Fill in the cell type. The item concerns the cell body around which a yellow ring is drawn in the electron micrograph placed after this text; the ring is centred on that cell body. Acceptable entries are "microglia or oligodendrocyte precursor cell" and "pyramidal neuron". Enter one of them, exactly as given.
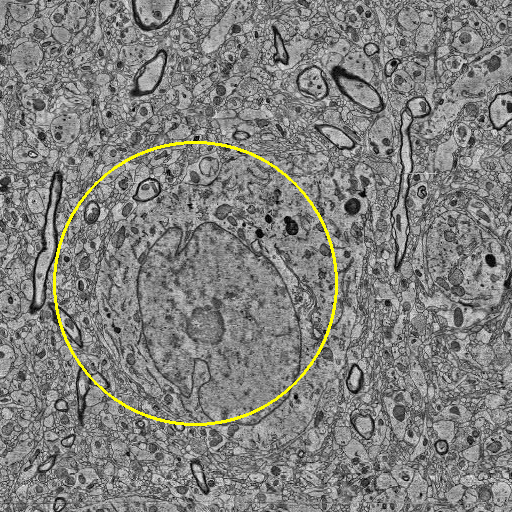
pyramidal neuron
